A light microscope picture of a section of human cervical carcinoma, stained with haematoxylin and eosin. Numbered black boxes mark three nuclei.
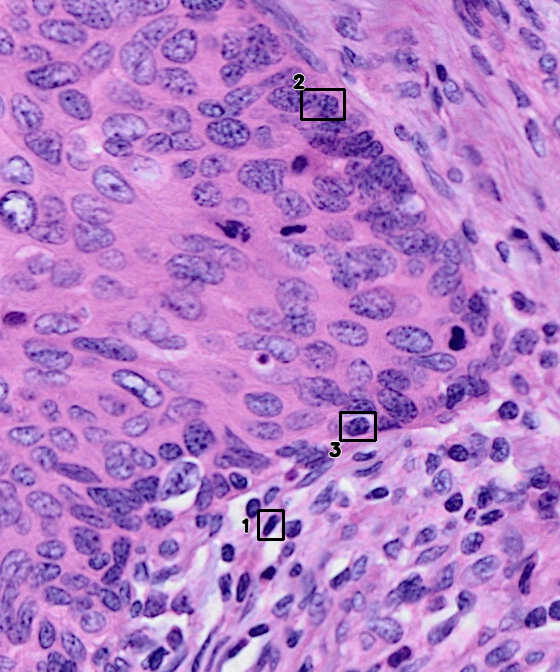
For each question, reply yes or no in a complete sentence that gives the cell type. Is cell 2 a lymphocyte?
No, the cell carrying number 2 is a squamous carcinoma cell rather than a lymphocyte.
